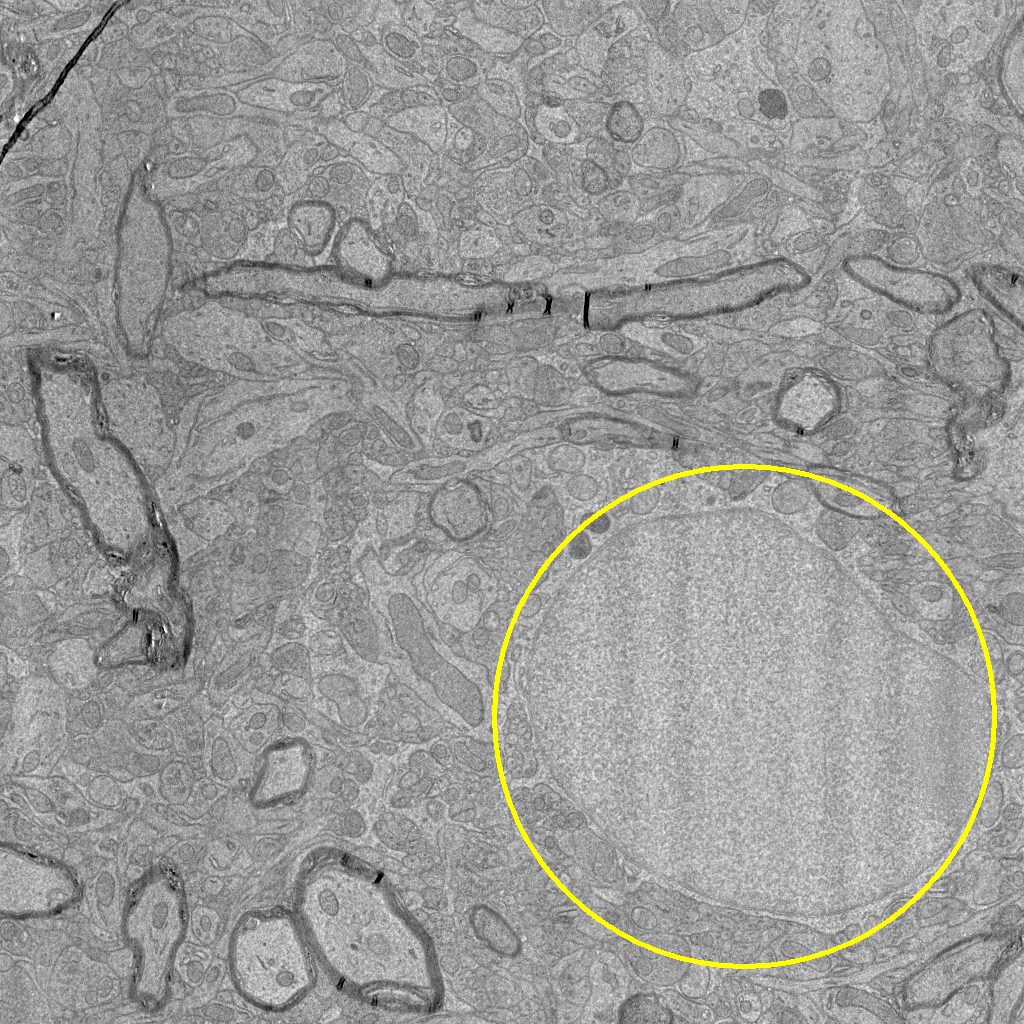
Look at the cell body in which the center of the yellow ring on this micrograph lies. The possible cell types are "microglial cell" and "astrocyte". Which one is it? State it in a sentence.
The cell at the middle of the ring is an astrocyte.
